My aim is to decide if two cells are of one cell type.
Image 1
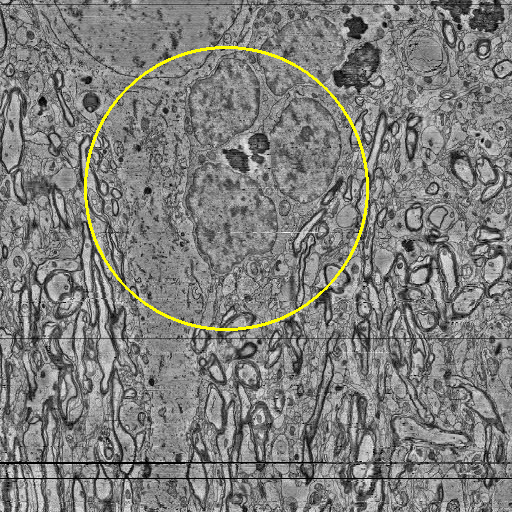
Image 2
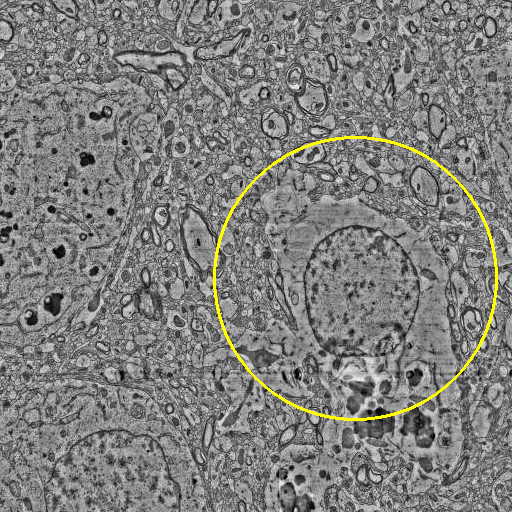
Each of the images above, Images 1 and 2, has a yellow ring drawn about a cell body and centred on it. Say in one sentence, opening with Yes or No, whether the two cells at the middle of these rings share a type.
No, in Images 1 and 2 the cells at the middle of the rings fall into two types.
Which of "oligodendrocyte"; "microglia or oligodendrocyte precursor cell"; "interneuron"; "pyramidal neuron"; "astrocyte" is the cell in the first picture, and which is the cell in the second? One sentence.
The two differ: the first cell is an oligodendrocyte and the second is an astrocyte.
